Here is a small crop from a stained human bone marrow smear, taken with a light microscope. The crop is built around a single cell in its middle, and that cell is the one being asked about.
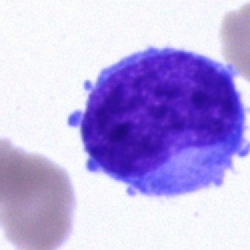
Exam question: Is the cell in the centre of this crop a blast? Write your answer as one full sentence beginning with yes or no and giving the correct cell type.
Yes, at the centre of the crop lies a blast.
